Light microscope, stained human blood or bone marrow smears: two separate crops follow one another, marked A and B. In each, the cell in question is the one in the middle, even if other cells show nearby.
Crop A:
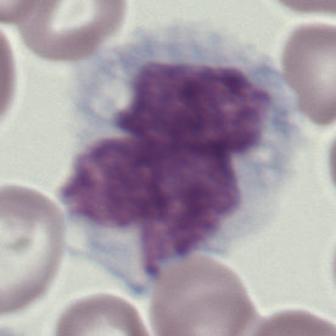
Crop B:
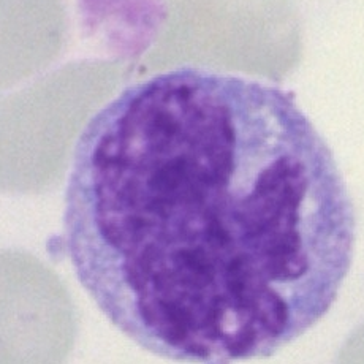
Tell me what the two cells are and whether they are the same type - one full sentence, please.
Yes, the cells at the centre of both crops are monocytes.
